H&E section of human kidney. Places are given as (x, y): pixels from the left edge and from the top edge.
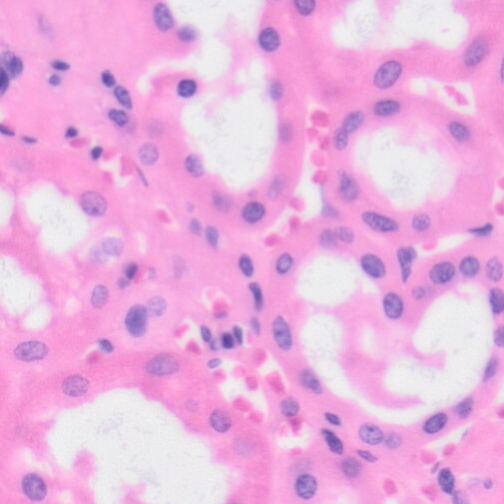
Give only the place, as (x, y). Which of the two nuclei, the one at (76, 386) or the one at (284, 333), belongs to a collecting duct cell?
(284, 333)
